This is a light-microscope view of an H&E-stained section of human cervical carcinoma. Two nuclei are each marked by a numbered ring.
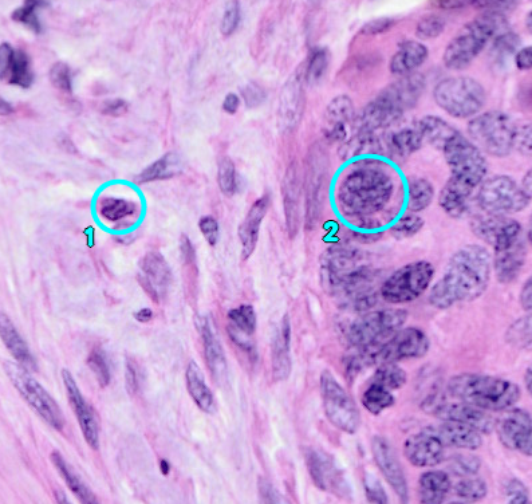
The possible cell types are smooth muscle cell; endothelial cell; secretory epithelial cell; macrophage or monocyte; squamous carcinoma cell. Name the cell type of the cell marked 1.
macrophage or monocyte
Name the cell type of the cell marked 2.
squamous carcinoma cell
